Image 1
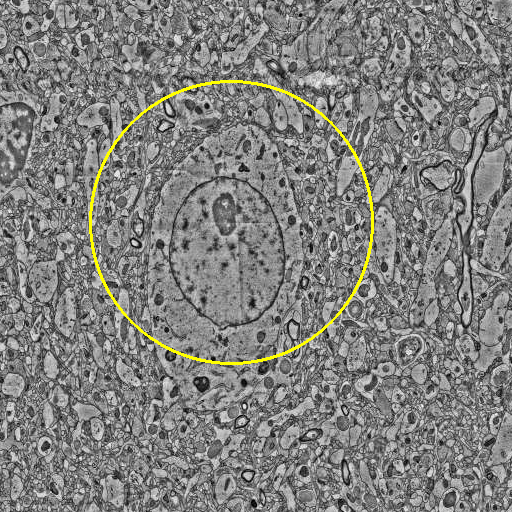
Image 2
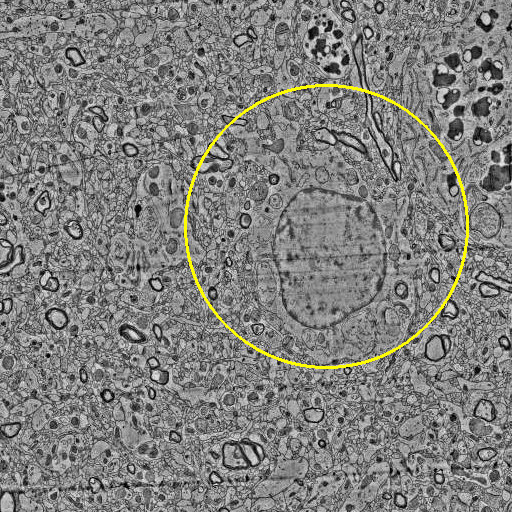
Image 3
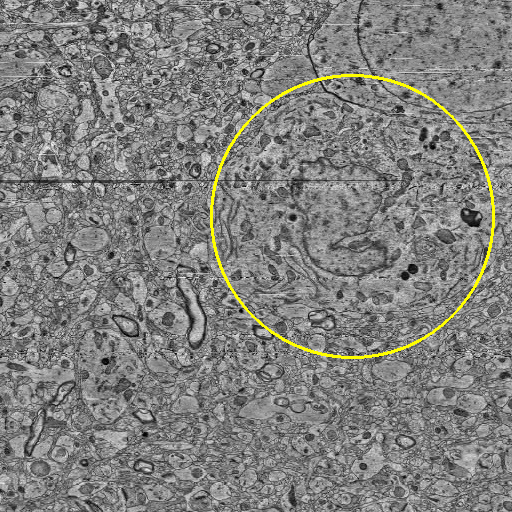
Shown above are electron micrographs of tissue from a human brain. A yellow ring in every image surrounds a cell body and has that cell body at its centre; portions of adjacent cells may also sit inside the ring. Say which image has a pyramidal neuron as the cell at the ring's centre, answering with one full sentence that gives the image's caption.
The image whose ring is centred on the requested cell is Image 1.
